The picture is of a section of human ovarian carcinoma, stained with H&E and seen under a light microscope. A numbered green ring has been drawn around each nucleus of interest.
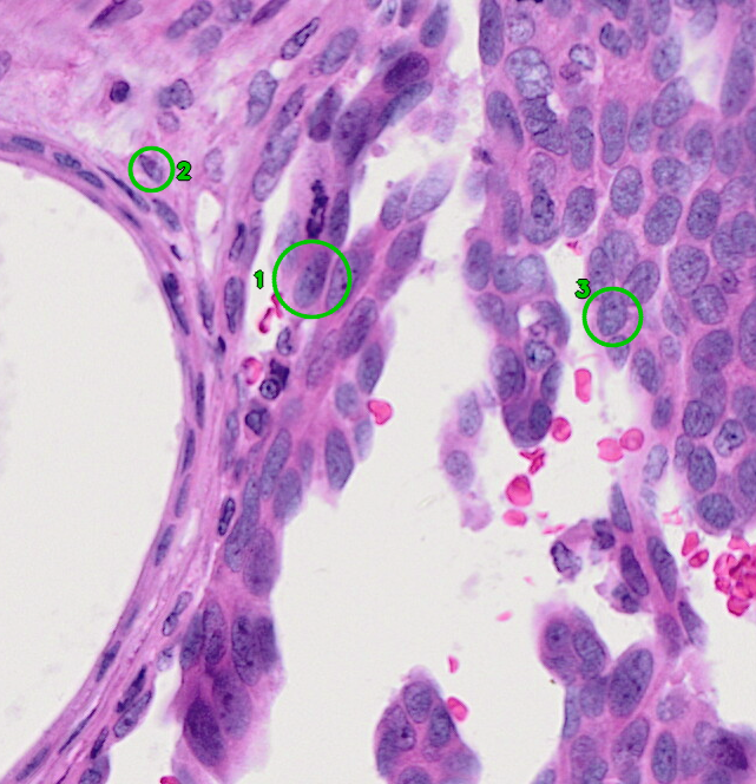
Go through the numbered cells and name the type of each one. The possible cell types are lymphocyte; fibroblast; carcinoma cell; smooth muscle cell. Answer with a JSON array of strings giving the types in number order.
["carcinoma cell", "fibroblast", "carcinoma cell"]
